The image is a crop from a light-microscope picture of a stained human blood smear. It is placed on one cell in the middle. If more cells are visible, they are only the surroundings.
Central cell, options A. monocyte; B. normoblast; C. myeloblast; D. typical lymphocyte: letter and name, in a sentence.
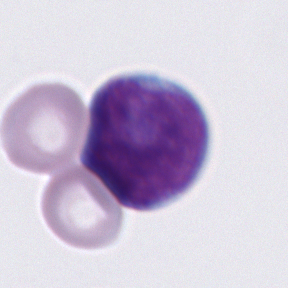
In the centre of the crop there is a myeloblast, making option C correct.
